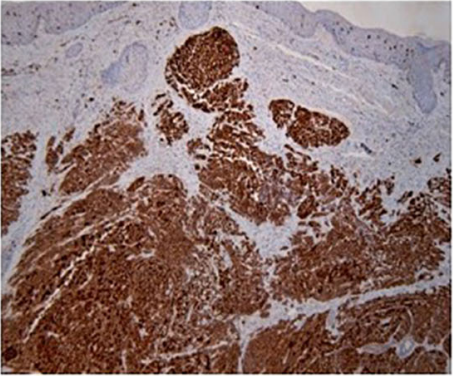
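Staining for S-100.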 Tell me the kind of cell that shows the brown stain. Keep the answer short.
Malignant cells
